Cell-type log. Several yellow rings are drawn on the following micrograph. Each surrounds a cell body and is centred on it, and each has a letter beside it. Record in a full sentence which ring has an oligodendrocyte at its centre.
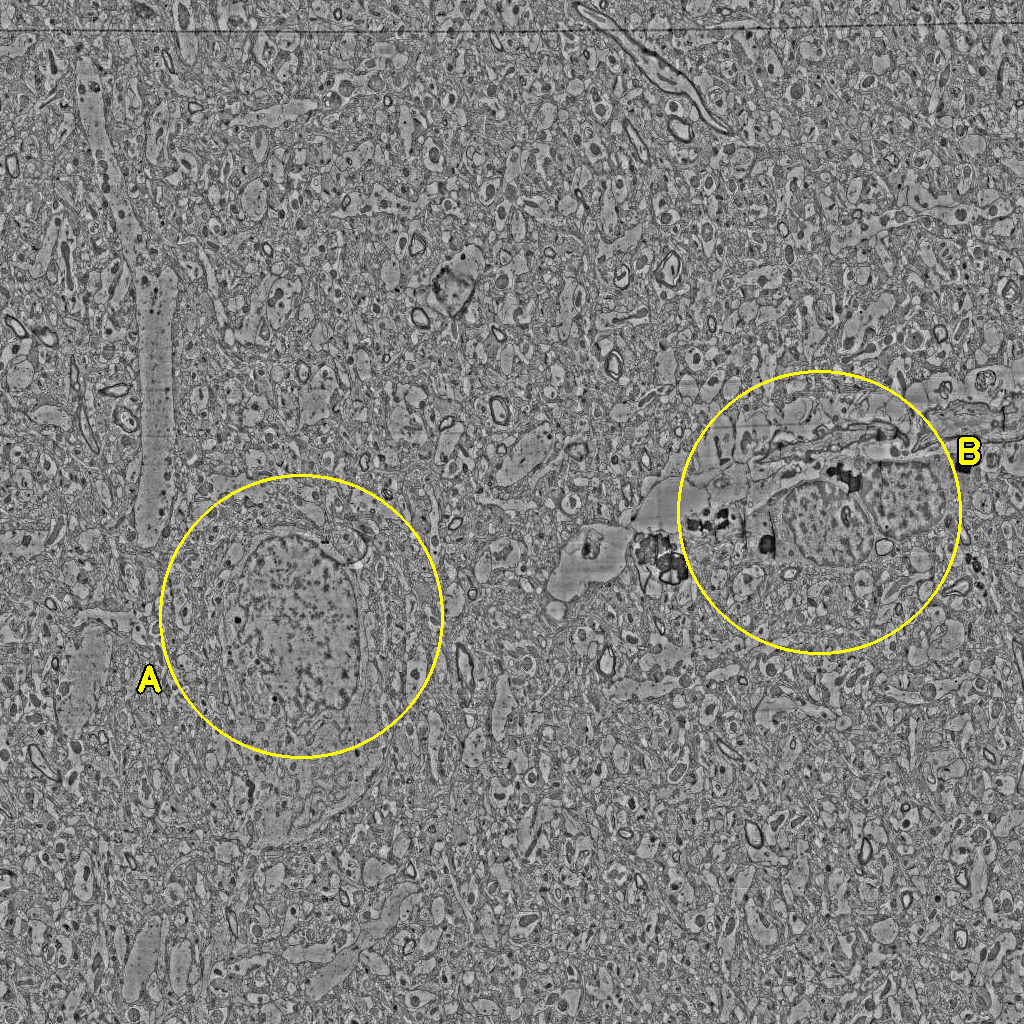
Ring B has it at its centre.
